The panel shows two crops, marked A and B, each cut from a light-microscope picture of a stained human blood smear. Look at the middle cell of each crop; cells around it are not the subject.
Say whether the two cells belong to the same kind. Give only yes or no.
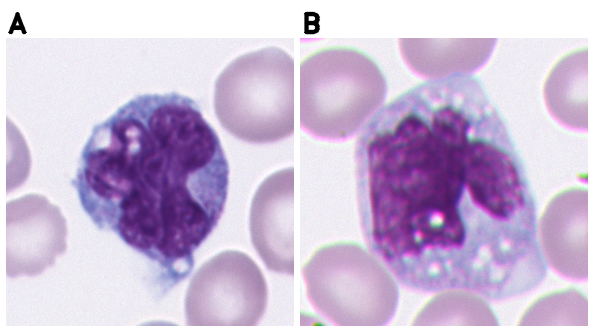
yes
